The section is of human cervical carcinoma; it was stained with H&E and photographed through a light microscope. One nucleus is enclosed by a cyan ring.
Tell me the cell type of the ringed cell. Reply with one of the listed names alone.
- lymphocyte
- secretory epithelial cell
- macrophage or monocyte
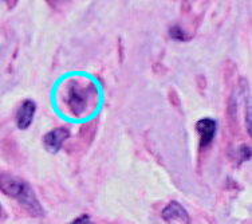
macrophage or monocyte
